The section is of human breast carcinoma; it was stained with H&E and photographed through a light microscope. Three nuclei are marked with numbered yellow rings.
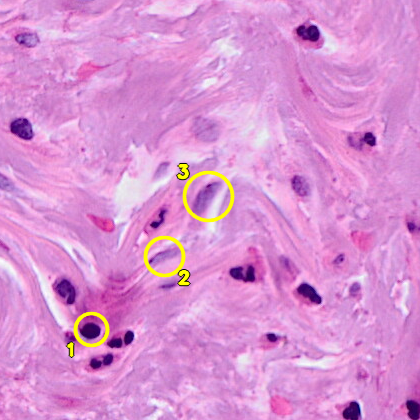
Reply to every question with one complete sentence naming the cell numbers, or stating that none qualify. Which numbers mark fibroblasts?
The numbers 2 and 3 mark cells that are fibroblasts.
